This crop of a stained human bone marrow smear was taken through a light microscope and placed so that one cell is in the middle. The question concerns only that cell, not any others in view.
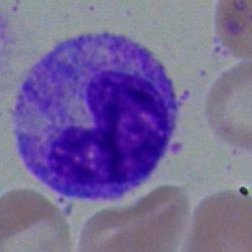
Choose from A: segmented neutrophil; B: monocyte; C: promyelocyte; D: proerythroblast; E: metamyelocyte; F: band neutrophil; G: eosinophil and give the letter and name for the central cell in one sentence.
Option E is right, the centrally situated cell being a metamyelocyte.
